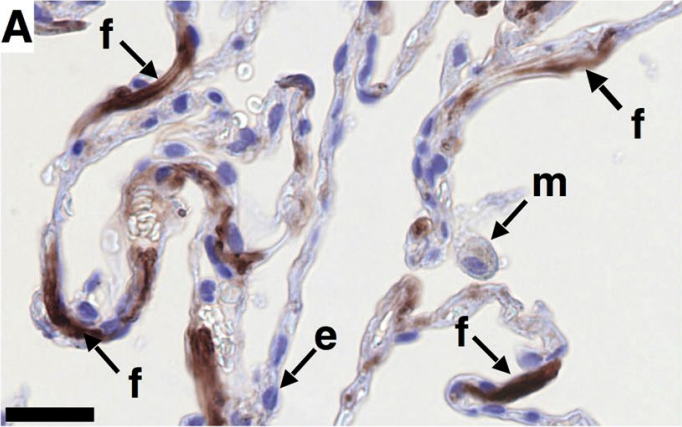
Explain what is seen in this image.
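Lung alveolar walls form thin branching septa around wide air spaces, lined by flattened alveolar epithelial cells with small blue nuclei. Elongated spindle-shaped fibroblast-like cells lie within the septa and carry dense brown cytoplasm along their length. A single rounded macrophage sits free in an air space and is unstained.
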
